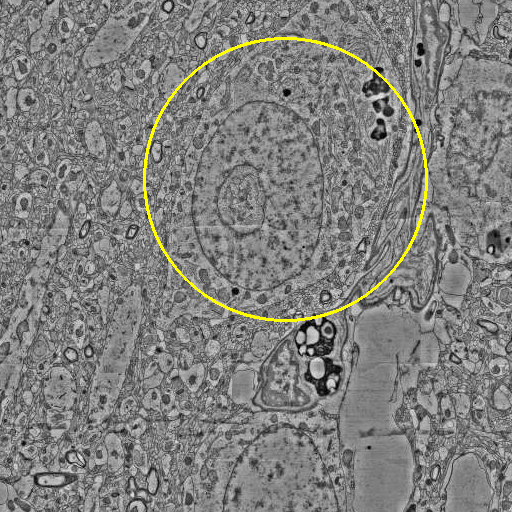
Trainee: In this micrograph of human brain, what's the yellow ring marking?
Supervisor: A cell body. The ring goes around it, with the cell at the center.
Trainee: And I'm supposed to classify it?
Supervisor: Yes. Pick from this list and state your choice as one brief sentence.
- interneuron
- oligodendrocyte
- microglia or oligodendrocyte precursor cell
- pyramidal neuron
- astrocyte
The cell at the ring's center is an interneuron.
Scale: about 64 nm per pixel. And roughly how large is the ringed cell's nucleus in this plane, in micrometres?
The ringed cell's nucleus is about 12 micrometres long and 9 micrometres wide in this plane.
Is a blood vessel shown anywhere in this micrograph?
Yes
